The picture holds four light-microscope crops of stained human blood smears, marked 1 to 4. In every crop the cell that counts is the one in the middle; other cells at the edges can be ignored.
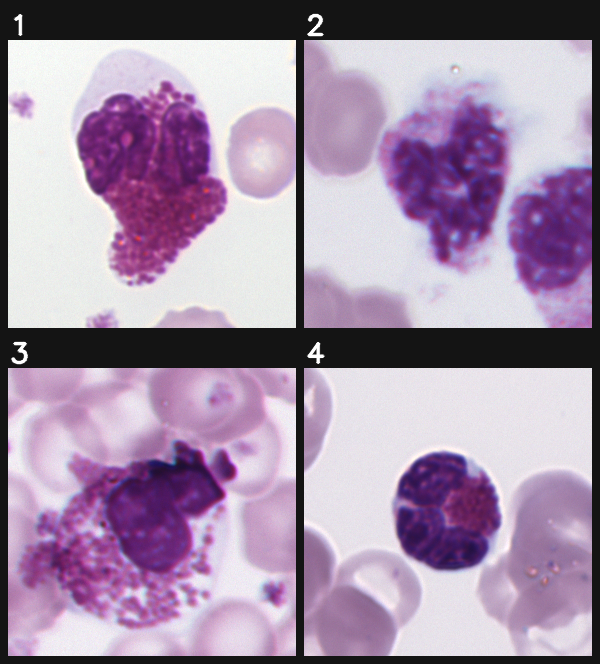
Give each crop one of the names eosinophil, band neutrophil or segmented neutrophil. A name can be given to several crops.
1: eosinophil
2: segmented neutrophil
3: eosinophil
4: eosinophil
